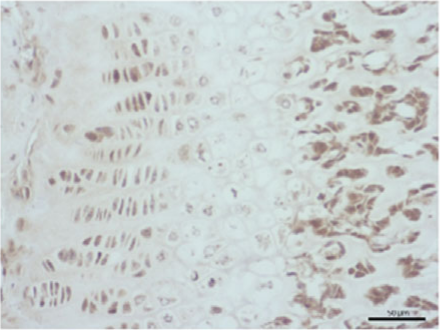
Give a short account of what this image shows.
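This section of a growth plate shows proliferating chondrocytes, hypertrophic chondrocytes and the adjacent primary spongiosa. On the left, flattened chondrocytes are stacked in parallel longitudinal columns within pale cartilage matrix, and many of them are stained brown. Toward the middle the cells enlarge into rounded hypertrophic chondrocytes with clear lacunae and only pale staining.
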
